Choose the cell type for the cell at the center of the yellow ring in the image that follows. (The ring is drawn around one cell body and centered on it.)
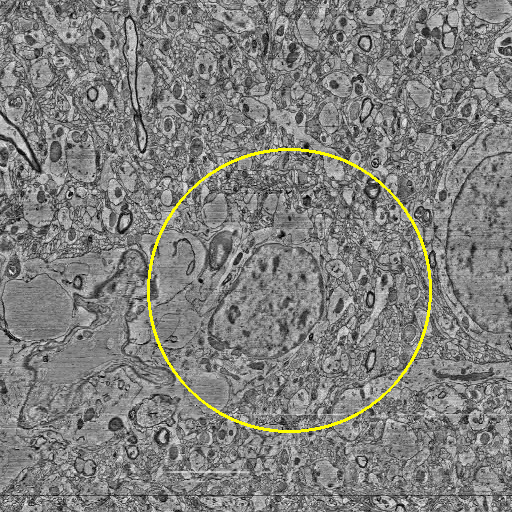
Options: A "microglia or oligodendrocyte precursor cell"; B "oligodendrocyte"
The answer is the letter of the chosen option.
A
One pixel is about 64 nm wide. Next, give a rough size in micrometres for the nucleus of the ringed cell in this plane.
The nucleus measures about 8 by 6 micrometres in this plane.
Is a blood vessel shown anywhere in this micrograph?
Yes, the image shows a blood vessel.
